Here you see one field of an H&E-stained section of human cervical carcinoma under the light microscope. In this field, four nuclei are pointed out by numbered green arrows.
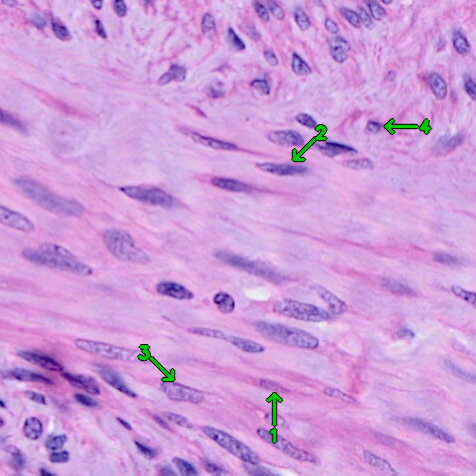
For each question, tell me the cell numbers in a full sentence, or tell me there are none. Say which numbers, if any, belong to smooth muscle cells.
The cells with the number labels 1, 3 and 4 are smooth muscle cells.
